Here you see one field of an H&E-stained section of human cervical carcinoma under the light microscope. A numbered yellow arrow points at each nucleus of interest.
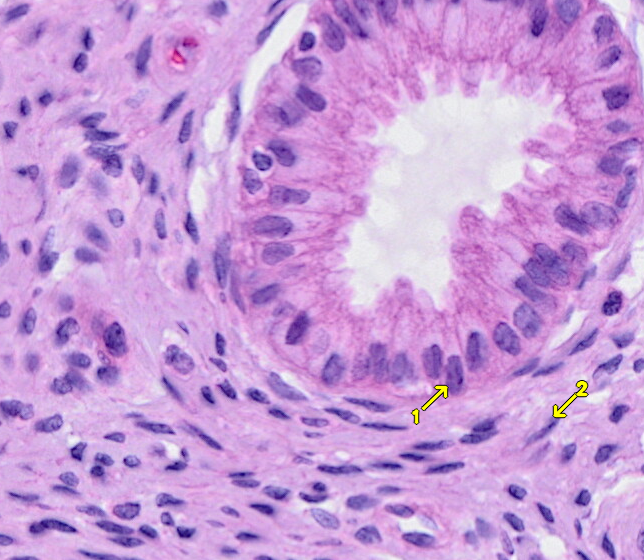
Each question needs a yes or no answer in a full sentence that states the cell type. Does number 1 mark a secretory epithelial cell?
Yes. The cell carrying number 1 is a secretory epithelial cell.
